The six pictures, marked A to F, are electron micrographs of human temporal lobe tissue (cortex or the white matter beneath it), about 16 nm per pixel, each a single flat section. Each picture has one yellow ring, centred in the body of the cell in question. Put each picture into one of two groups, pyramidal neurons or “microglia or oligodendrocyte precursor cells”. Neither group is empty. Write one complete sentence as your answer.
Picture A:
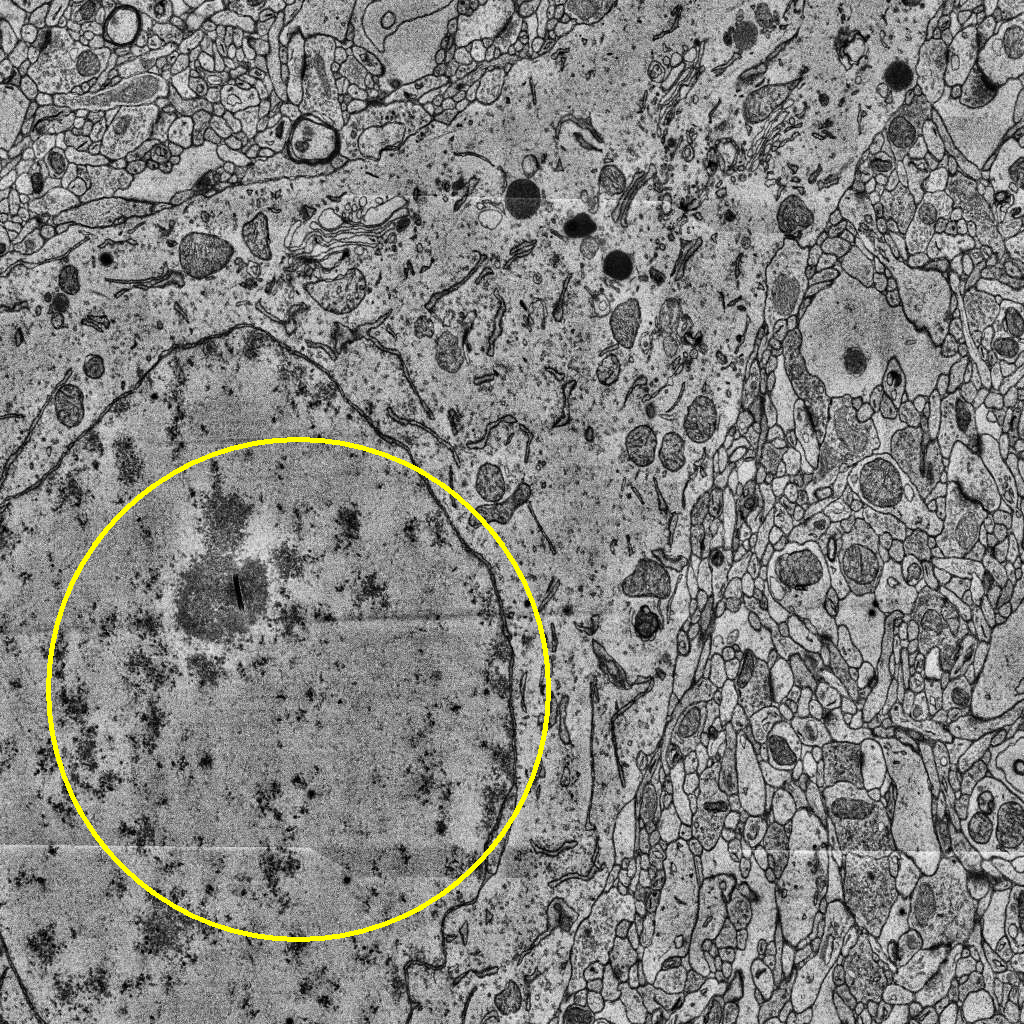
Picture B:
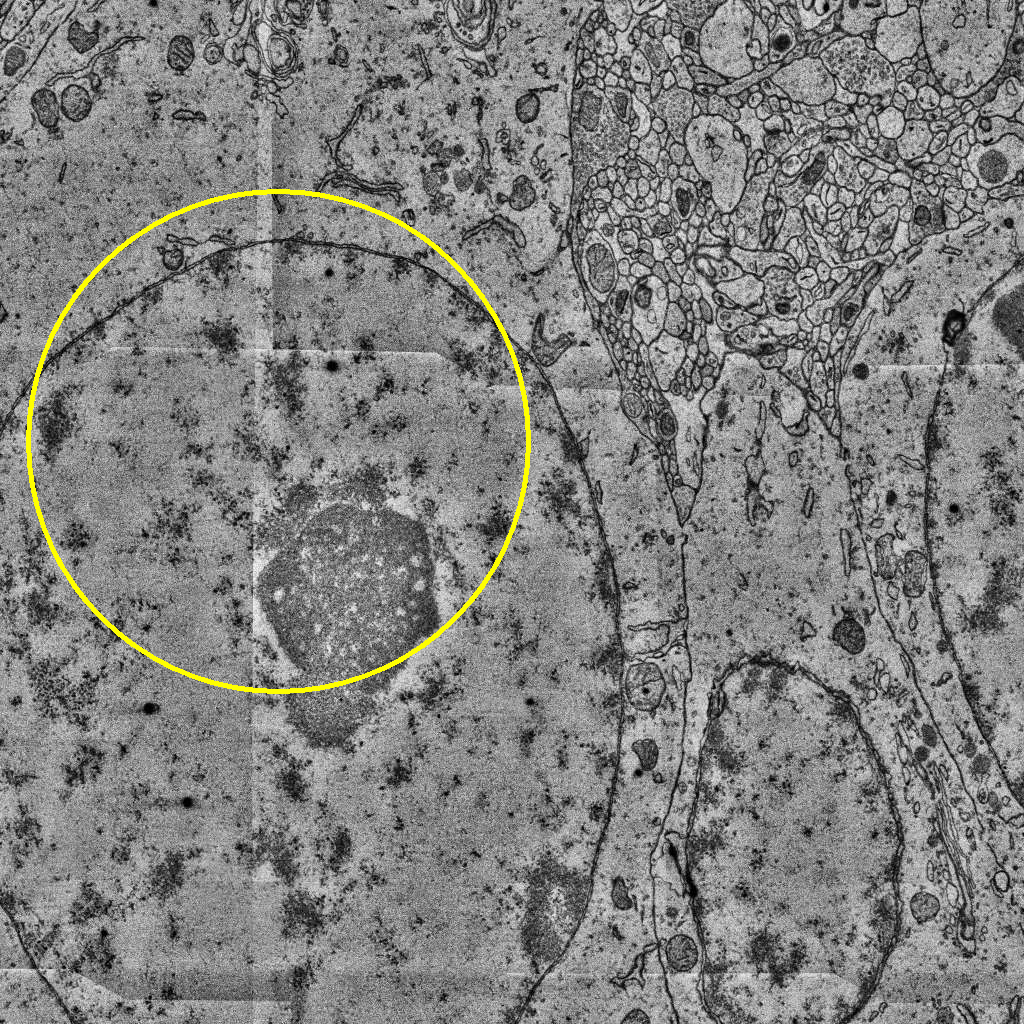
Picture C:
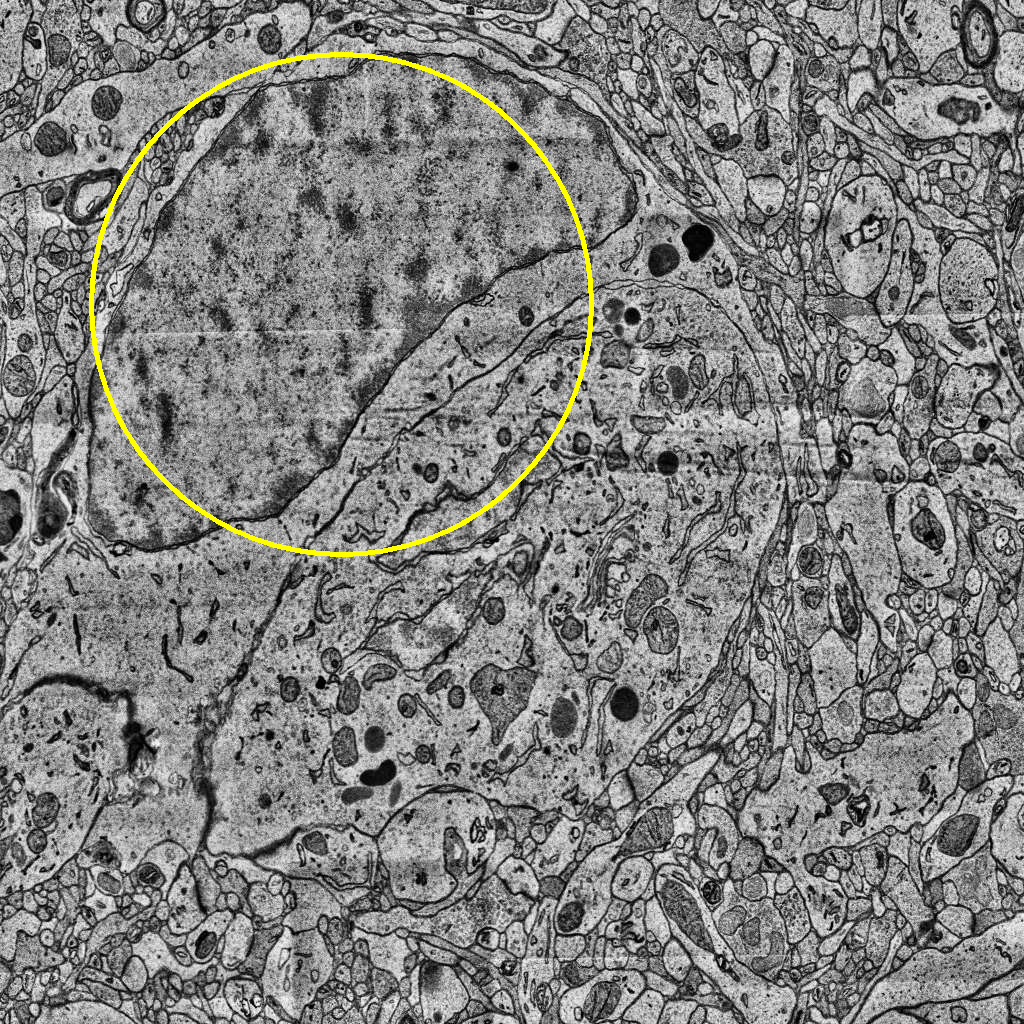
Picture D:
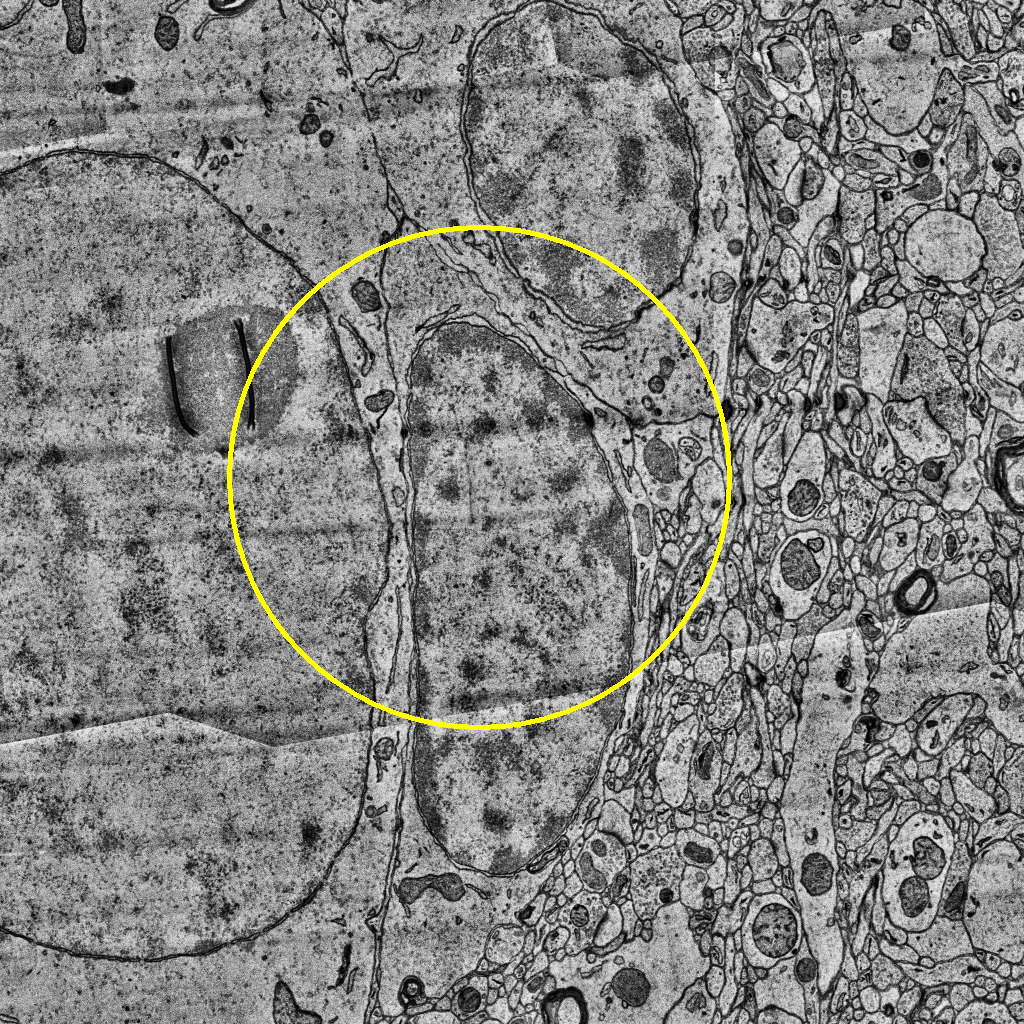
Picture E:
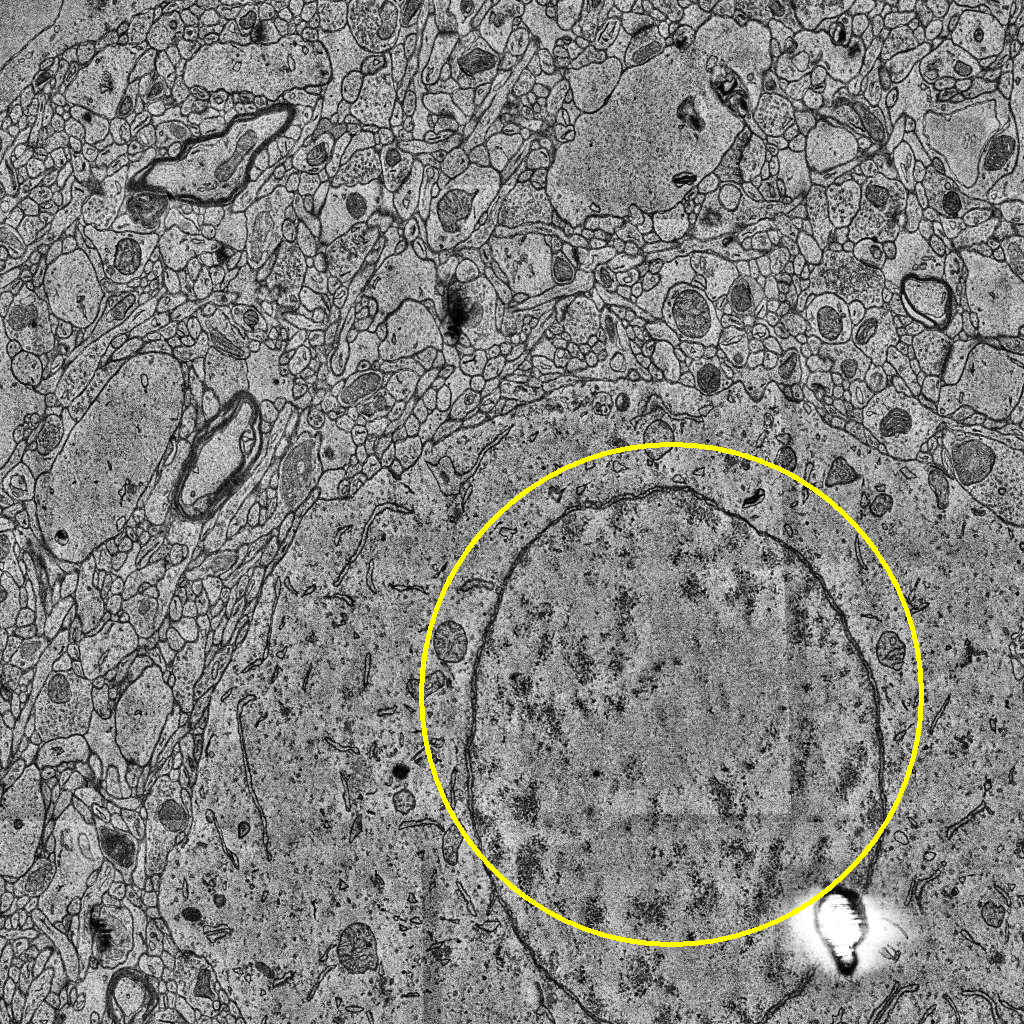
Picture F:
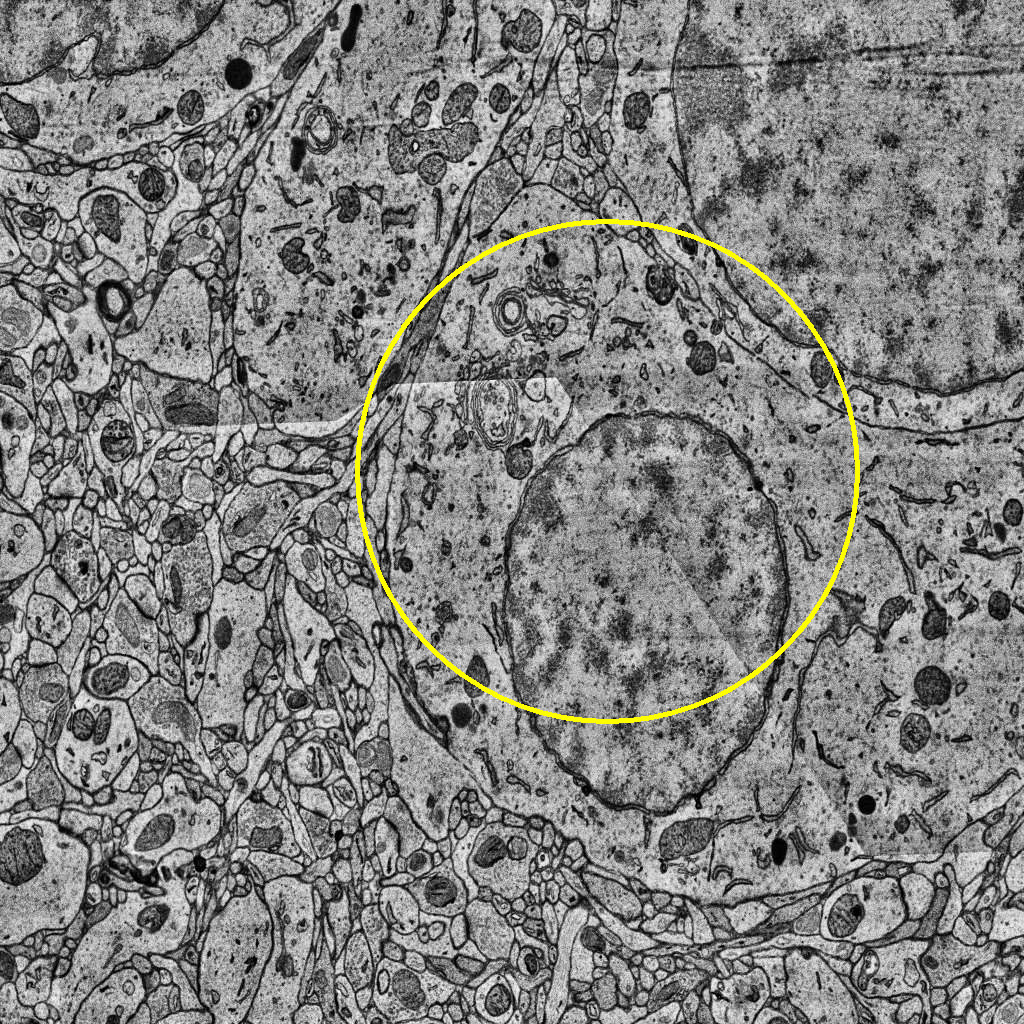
Pictures A, B, E and F show pyramidal neurons, while pictures C and D show “microglia or oligodendrocyte precursor cells”.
